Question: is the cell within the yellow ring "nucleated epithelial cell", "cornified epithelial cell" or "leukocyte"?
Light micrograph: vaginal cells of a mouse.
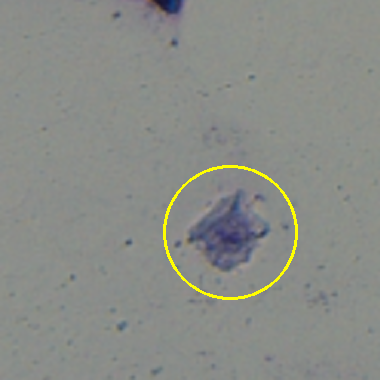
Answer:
cornified epithelial cell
